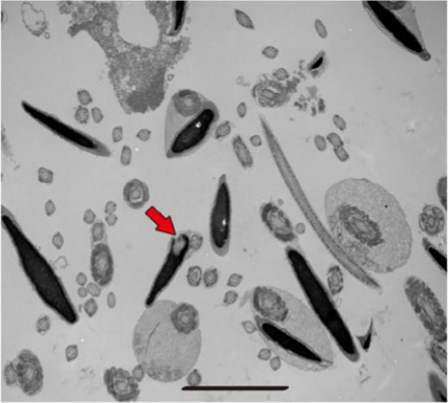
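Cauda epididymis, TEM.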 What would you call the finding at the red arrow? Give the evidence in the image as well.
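The red arrow points at an electron-dense, elongated sperm head. A small pale gap interrupts the dark head material at the arrowed site.
Answer: vacuoles in nuclei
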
